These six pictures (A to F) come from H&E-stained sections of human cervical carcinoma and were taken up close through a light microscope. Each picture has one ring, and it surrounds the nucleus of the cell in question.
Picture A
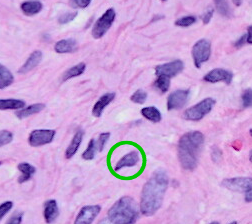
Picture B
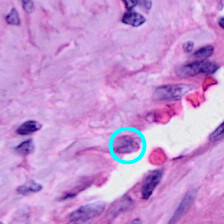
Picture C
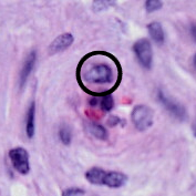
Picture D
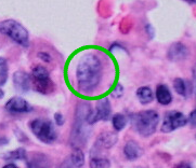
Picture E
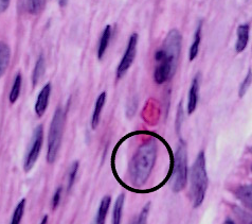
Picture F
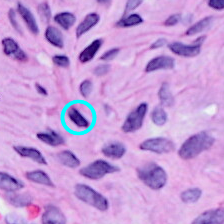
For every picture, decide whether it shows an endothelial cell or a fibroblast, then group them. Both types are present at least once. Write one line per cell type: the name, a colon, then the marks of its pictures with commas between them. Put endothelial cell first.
endothelial cell: B, C, D, E
fibroblast: A, F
